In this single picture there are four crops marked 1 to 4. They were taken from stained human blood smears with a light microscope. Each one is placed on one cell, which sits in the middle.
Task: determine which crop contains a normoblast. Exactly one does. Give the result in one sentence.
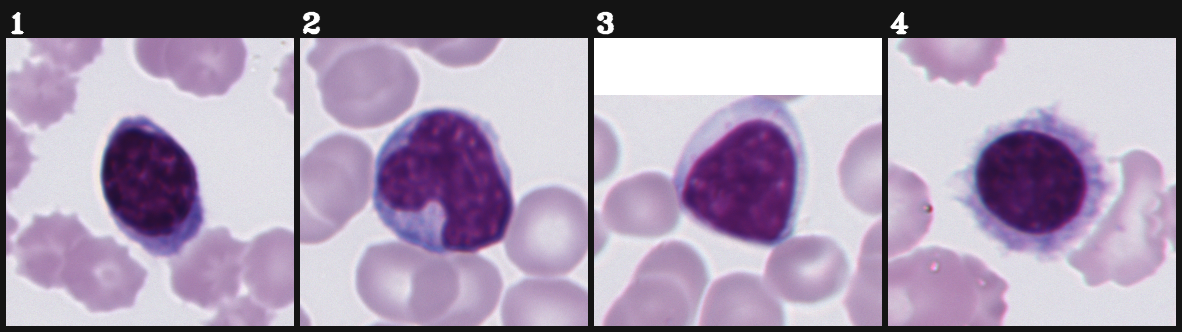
The one showing a normoblast is the crop labelled 1.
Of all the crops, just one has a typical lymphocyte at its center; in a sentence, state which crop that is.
It is in crop 2, among all the crops, that a typical lymphocyte is present.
